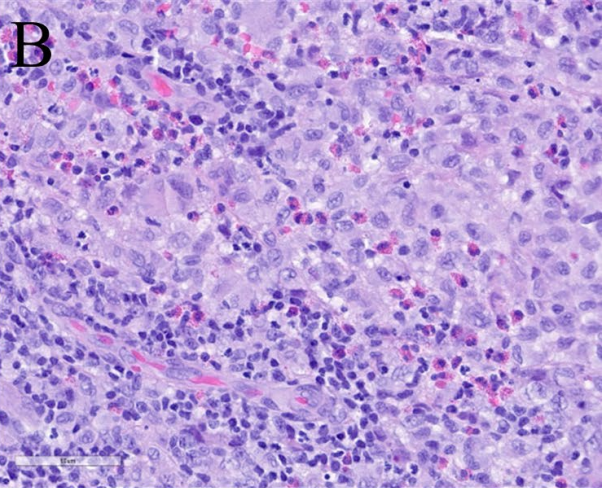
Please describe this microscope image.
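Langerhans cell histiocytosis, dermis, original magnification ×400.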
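This is a dense dermal infiltrate dominated by medium to large epithelioid cells with abundant pale pink cytoplasm and oval to irregular, pale nuclei, some of which look folded or grooved. Scattered among them are eosinophils with bright red-pink granular cytoplasm and small lymphocytes with dark, round, dense nuclei, the lymphocytes gathering in bands between the sheets of larger cells.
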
